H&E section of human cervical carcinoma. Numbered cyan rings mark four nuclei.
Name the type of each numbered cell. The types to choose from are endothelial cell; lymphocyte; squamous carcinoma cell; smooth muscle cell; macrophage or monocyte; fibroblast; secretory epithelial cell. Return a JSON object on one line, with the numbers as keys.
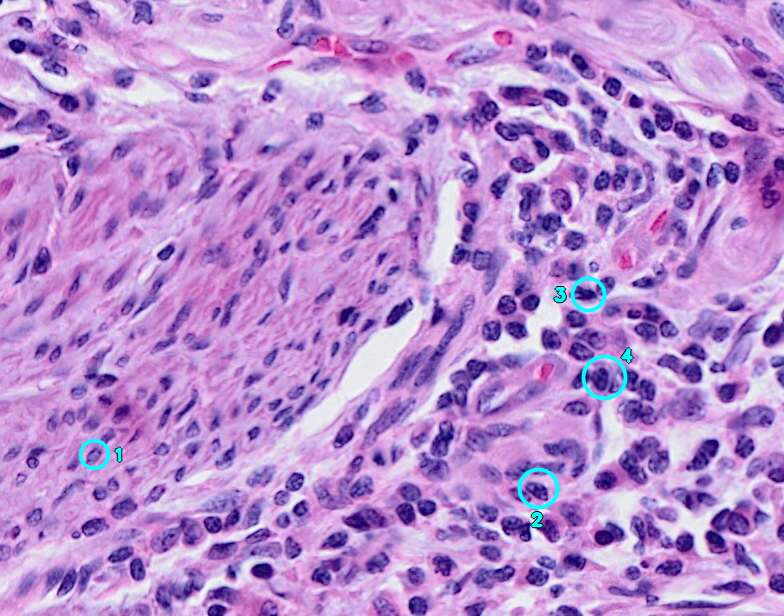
{"1": "smooth muscle cell", "2": "lymphocyte", "3": "lymphocyte", "4": "lymphocyte"}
